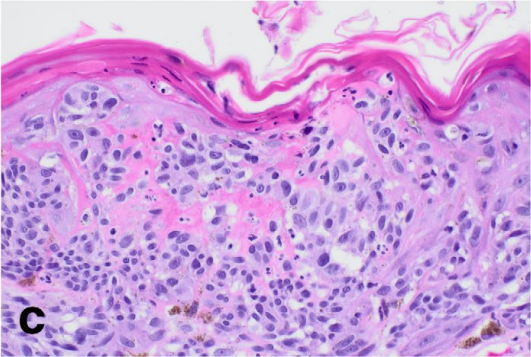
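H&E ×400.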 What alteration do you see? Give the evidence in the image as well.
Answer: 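The epidermis is thinned, with only a thin compact layer of keratin left on top. Atypical cells with large, irregular nuclei fill the epidermis up to just beneath the keratin. Pink, glassy material lies between the atypical cells. So: epidermal consumption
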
